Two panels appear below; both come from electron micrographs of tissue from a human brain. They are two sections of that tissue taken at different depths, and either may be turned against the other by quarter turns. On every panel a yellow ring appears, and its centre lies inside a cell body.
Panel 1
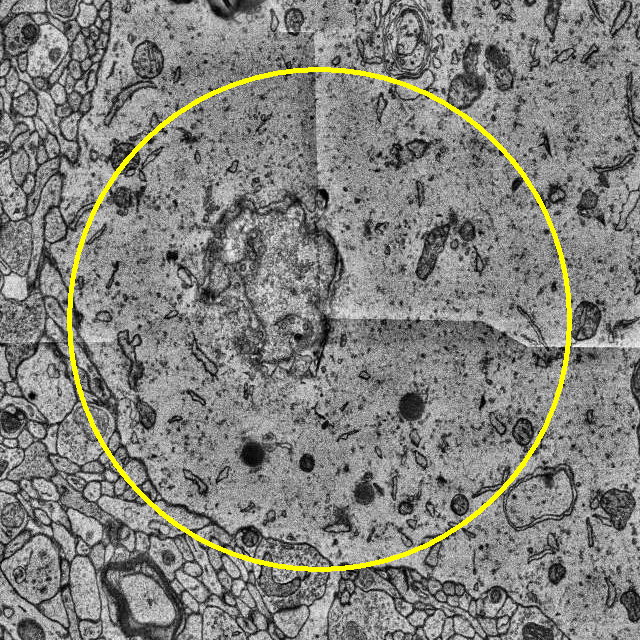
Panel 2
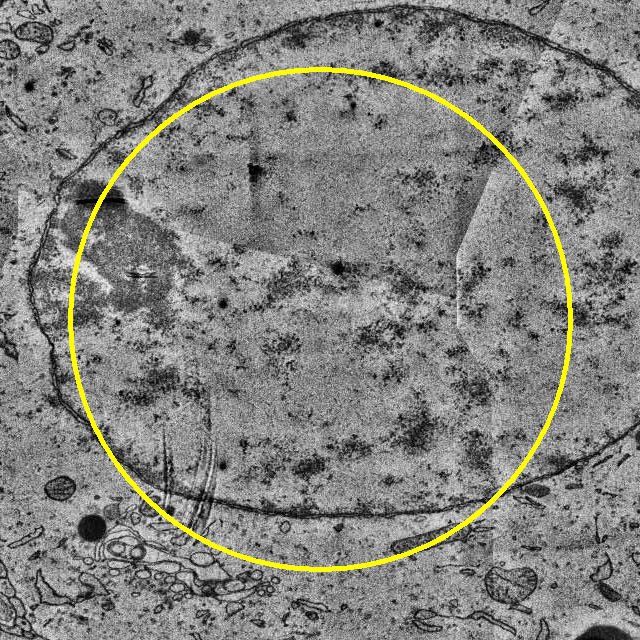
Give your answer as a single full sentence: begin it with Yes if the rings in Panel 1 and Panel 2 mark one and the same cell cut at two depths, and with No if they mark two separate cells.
Yes, the same cell has been marked in both yellow rings.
